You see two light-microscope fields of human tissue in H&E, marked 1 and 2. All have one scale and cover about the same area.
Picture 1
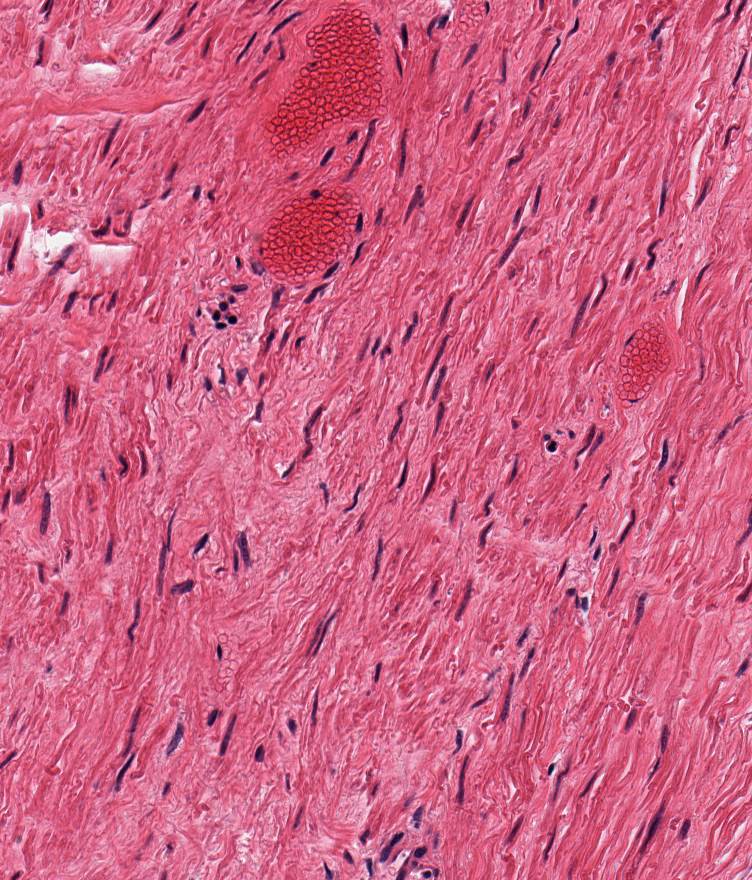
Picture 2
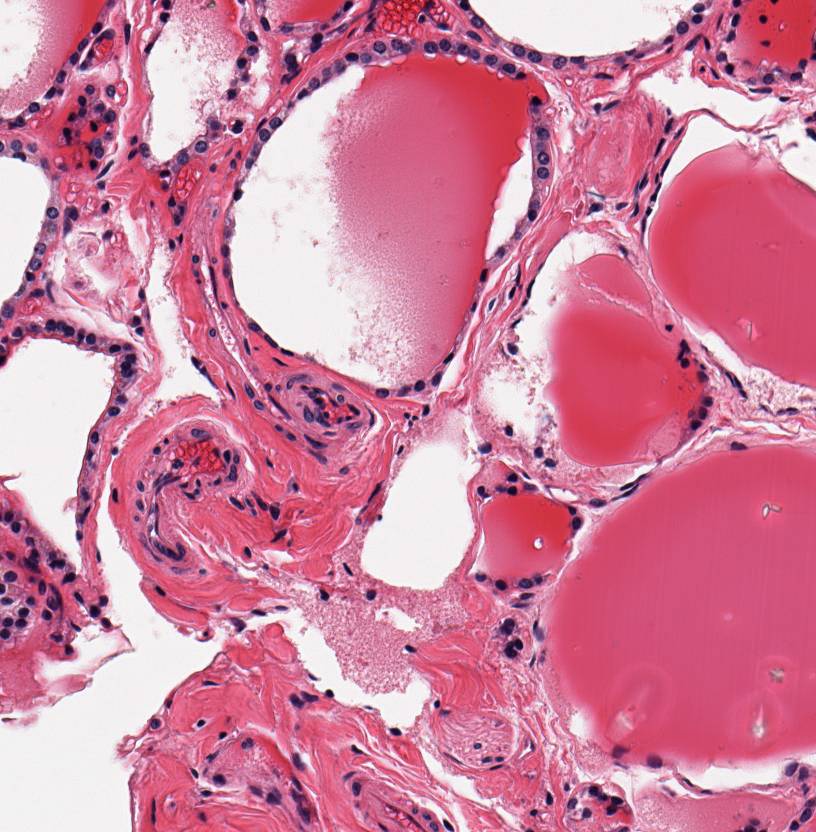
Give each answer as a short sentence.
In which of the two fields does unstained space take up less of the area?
It is picture 1 that stained tissue fills more completely.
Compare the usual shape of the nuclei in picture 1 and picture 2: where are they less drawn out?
On the whole the nuclei of picture 2 are rounder than those of picture 1.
